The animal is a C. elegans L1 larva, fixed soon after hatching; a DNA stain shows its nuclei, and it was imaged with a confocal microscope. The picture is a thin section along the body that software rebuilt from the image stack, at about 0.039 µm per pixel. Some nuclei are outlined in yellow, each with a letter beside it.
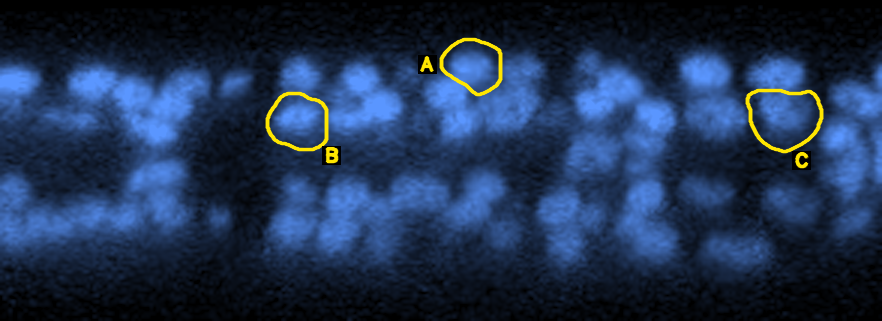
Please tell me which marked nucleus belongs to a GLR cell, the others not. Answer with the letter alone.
B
